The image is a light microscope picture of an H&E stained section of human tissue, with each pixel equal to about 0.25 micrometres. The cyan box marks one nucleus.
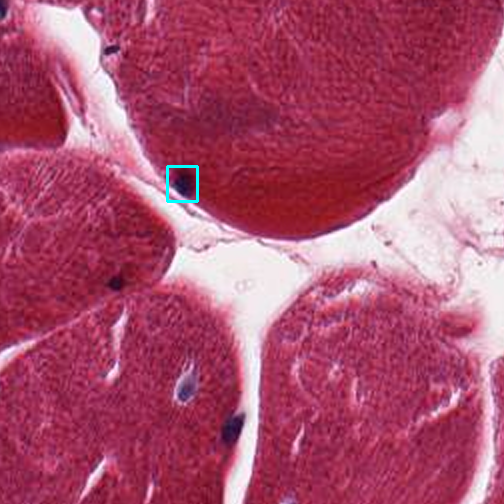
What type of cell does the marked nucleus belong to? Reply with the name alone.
skeletal muscle fibre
